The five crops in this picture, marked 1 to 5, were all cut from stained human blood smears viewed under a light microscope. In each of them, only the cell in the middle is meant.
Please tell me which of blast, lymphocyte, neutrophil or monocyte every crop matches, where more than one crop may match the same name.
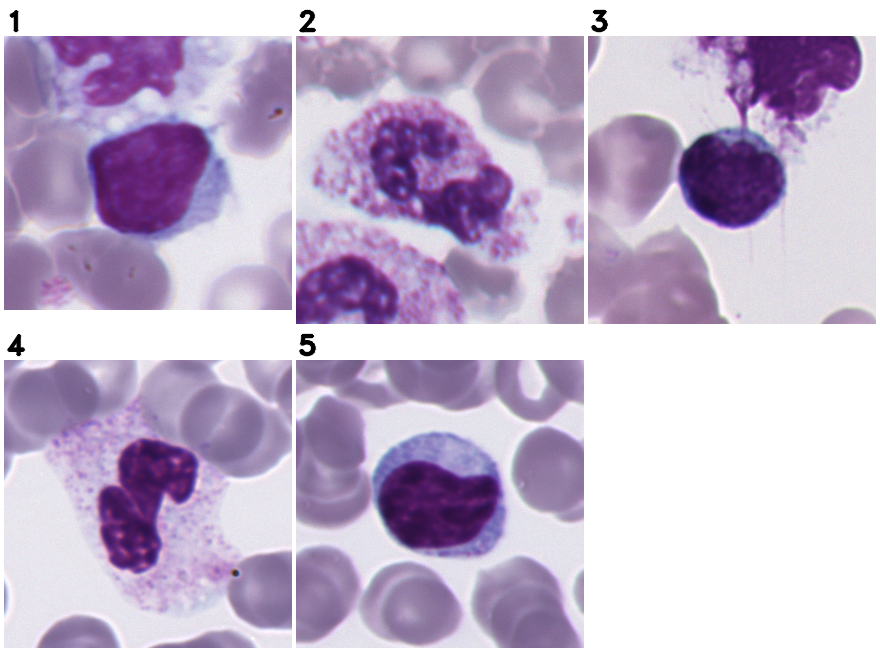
1: lymphocyte
2: neutrophil
3: lymphocyte
4: neutrophil
5: lymphocyte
